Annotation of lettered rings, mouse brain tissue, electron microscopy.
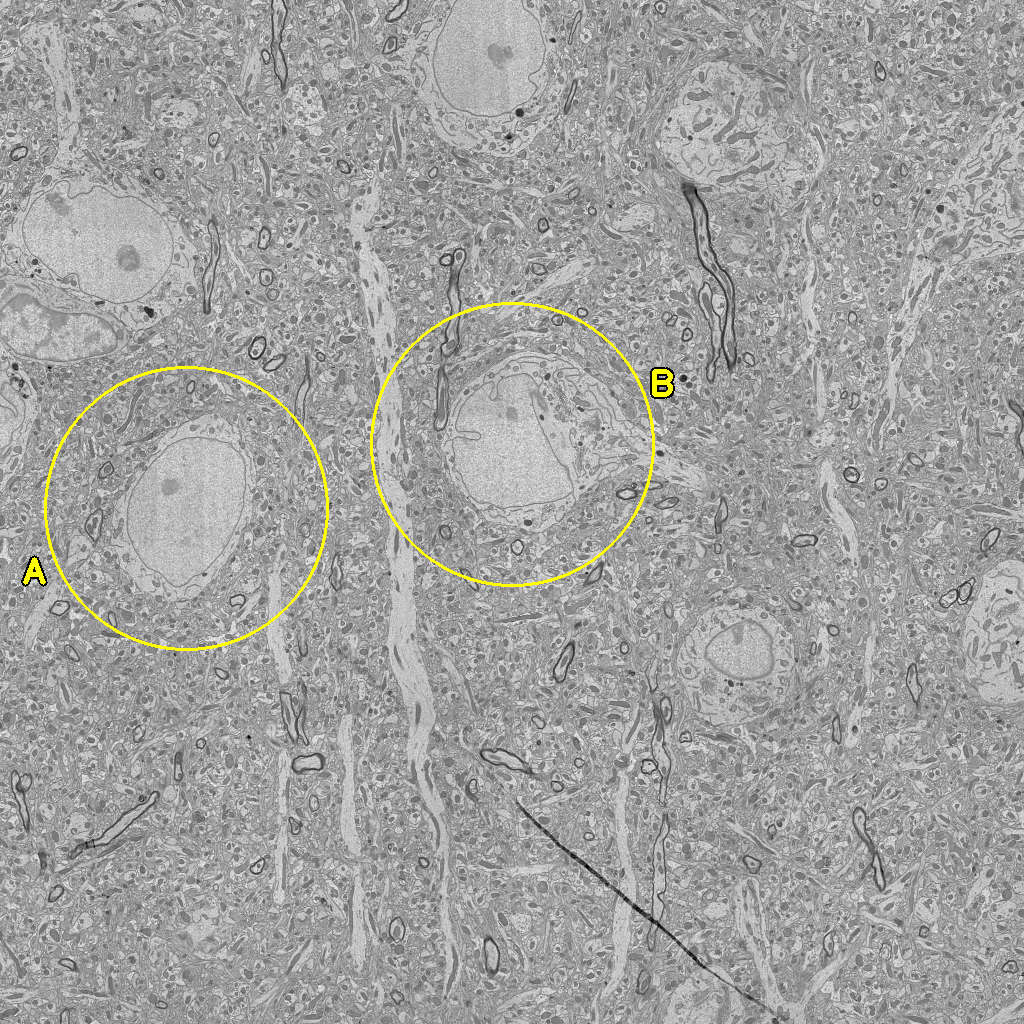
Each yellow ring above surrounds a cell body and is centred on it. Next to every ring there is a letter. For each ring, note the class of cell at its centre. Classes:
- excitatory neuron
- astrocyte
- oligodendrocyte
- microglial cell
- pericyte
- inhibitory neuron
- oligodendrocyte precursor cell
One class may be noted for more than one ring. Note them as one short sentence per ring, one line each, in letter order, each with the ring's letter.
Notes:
The class noted at ring A is an excitatory neuron.
The class noted at ring B is an inhibitory neuron.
